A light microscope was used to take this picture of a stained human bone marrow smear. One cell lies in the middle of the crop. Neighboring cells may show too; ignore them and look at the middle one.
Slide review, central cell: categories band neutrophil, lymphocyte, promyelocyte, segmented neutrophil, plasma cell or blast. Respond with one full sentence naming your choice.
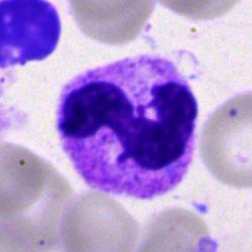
This crop has a band neutrophil at its centre.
